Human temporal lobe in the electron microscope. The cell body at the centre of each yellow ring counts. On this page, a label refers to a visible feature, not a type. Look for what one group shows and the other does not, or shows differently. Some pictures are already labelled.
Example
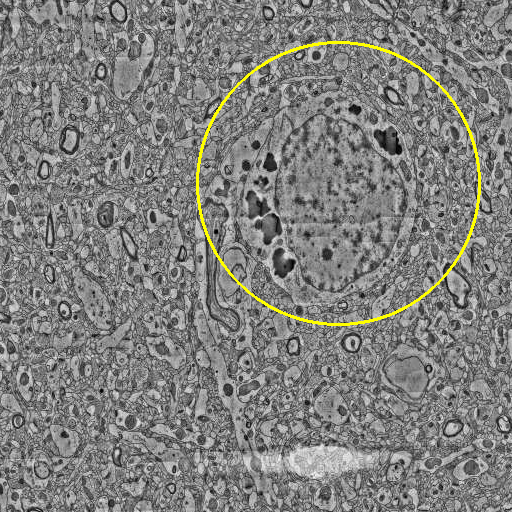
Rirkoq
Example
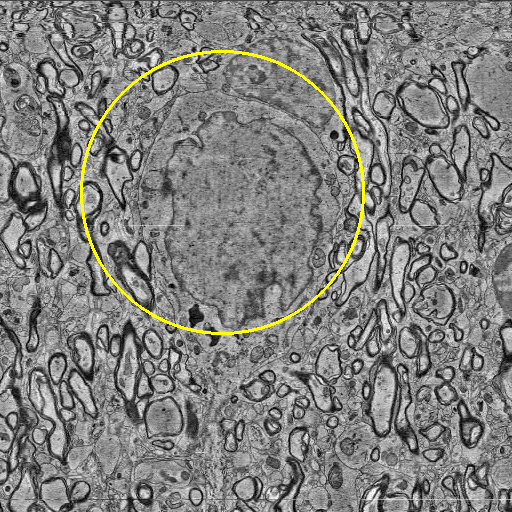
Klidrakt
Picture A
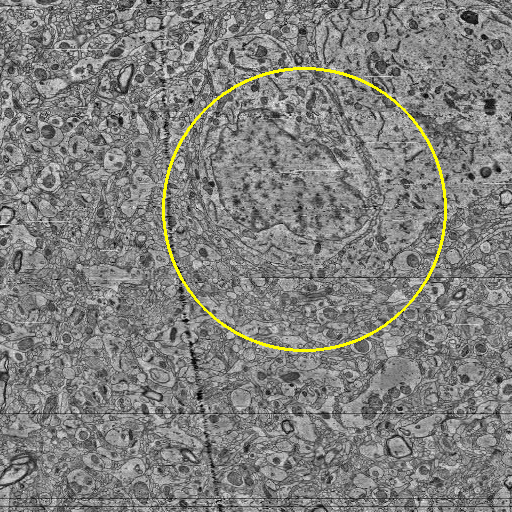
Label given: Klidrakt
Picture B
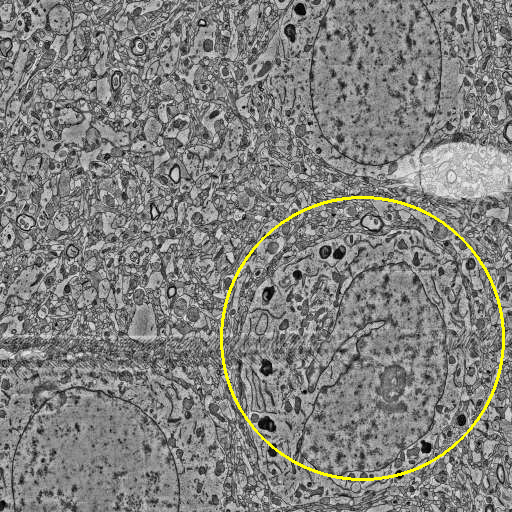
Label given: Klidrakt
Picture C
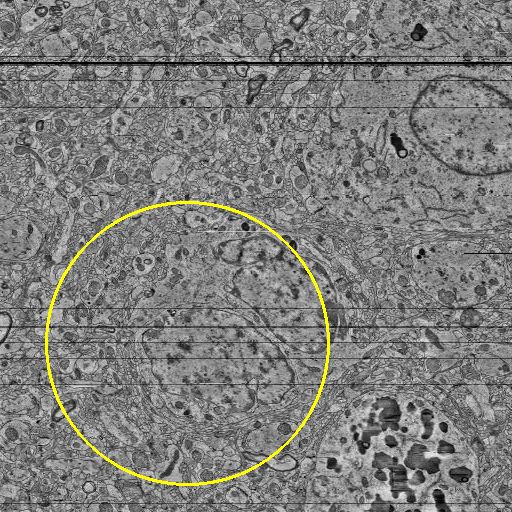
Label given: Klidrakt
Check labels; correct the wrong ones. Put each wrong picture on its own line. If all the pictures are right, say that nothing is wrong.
No label is wrong.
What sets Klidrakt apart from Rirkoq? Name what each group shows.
Klidrakt, deeply folded or indented nuclear envelopes; Rirkoq, smooth nuclear envelopes without deep folds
